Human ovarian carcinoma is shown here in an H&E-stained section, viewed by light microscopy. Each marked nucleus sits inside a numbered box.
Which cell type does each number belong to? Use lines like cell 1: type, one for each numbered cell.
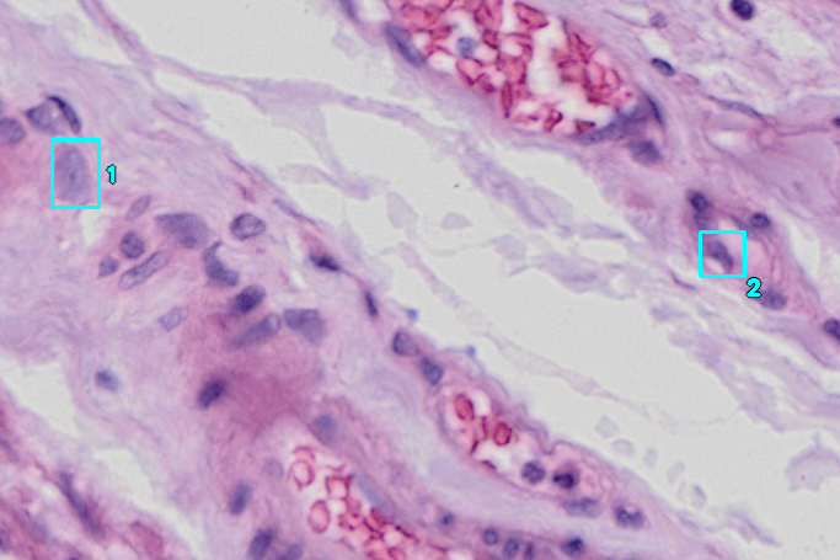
cell 1: fibroblast
cell 2: endothelial cell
